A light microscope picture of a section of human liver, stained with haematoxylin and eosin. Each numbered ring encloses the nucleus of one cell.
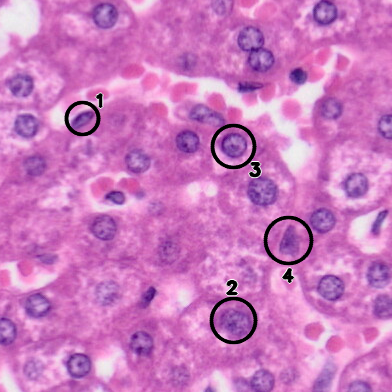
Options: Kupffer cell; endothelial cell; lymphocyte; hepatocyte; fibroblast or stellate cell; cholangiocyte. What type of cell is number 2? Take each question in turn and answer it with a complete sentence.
Nucleus 2 in this section belongs to a hepatocyte.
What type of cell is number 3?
In this section, the cell numbered 3 is a hepatocyte.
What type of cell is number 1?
The label 1 in this section denotes a Kupffer cell.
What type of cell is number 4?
At number 4, the marked cell is an endothelial cell.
